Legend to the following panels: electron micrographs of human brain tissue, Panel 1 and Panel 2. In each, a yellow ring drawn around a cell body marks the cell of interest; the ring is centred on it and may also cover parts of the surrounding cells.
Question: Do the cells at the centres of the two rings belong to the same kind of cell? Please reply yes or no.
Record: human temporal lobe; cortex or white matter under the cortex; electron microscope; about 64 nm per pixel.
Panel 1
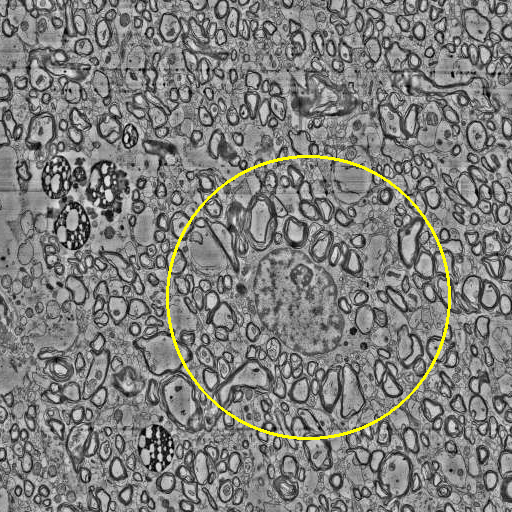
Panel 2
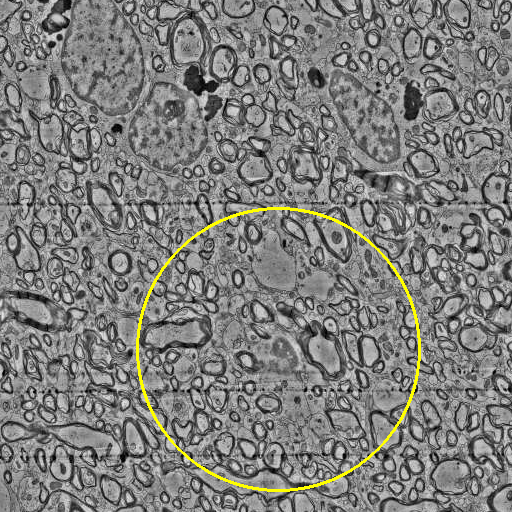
no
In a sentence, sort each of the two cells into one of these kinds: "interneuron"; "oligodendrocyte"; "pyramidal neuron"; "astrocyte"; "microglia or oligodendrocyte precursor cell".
The first of the two cells is an oligodendrocyte, and the second is a microglial cell or oligodendrocyte precursor cell.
